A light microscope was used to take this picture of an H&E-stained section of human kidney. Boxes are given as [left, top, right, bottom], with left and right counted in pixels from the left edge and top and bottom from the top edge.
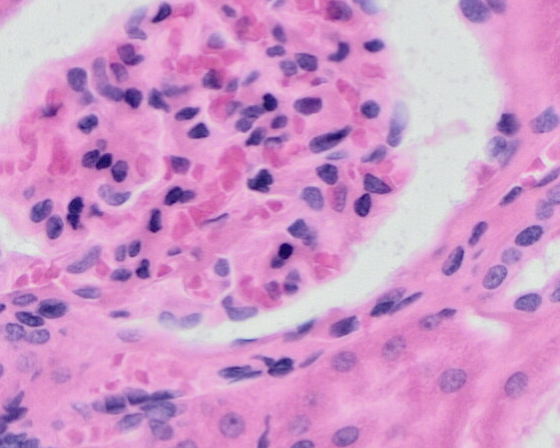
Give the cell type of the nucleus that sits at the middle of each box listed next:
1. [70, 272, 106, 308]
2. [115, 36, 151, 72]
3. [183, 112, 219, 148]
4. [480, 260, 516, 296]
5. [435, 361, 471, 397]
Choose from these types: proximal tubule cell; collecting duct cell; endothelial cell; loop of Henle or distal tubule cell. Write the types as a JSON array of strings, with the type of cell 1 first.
["endothelial cell", "endothelial cell", "endothelial cell", "collecting duct cell", "proximal tubule cell"]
